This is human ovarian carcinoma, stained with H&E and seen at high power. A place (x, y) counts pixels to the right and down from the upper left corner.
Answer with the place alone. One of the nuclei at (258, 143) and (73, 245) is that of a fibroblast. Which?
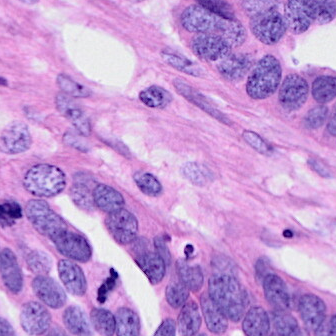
(258, 143)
